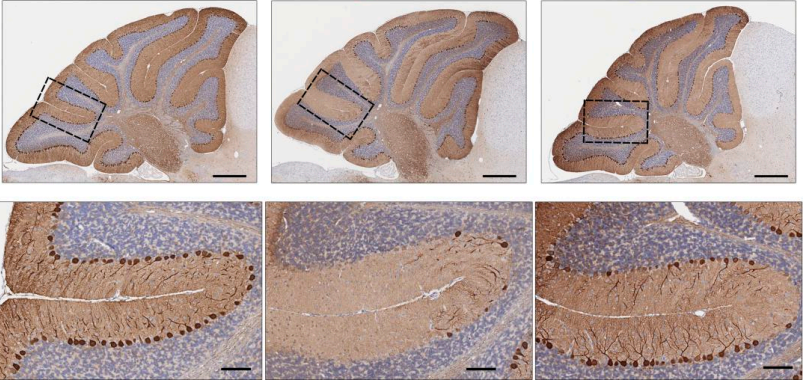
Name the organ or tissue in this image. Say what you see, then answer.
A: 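Sections show many folded lobules branching from a central core. Each lobule has a blue, densely nucleated inner layer and a brown outer layer. On this evidence: cerebella.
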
